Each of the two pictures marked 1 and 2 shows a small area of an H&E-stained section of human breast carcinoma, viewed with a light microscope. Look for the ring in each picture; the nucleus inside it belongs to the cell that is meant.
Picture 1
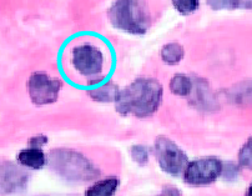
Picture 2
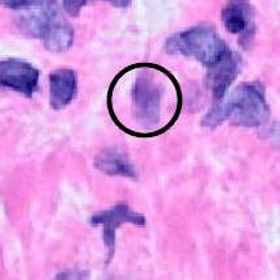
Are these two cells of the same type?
no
